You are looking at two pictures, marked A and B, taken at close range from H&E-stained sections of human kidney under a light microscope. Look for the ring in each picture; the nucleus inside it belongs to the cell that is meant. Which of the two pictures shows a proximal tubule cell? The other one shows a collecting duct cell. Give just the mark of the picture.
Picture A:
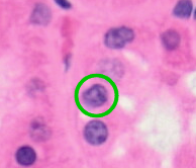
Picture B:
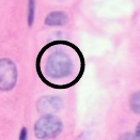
A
